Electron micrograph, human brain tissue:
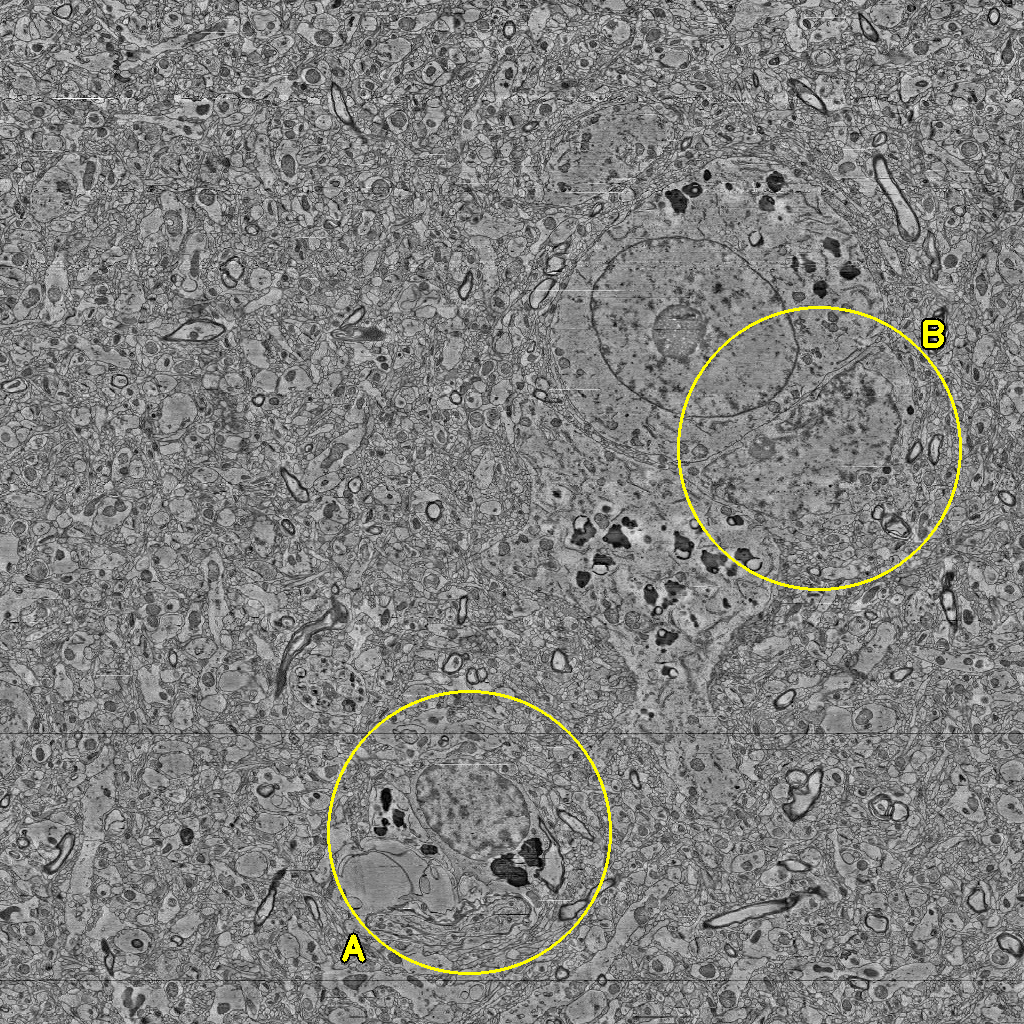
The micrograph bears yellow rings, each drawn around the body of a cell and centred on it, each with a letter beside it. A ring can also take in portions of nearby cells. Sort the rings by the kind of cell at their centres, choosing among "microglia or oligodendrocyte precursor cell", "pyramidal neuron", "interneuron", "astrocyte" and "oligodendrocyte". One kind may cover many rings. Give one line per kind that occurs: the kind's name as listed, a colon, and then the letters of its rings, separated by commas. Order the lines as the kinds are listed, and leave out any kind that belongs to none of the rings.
interneuron: B
oligodendrocyte: A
